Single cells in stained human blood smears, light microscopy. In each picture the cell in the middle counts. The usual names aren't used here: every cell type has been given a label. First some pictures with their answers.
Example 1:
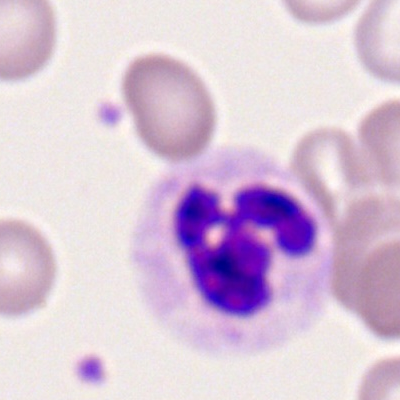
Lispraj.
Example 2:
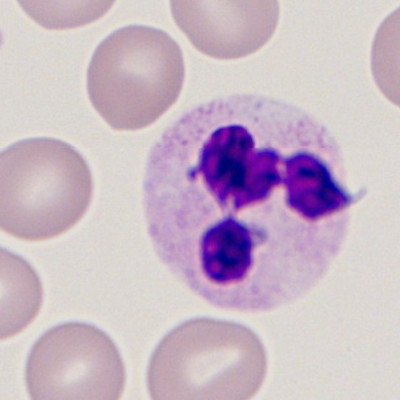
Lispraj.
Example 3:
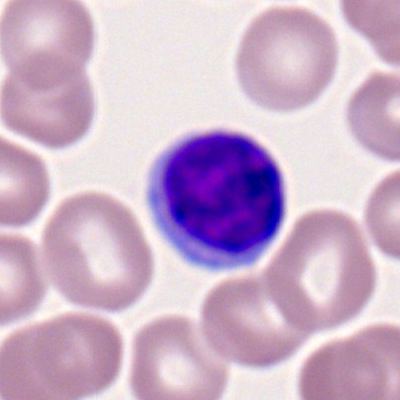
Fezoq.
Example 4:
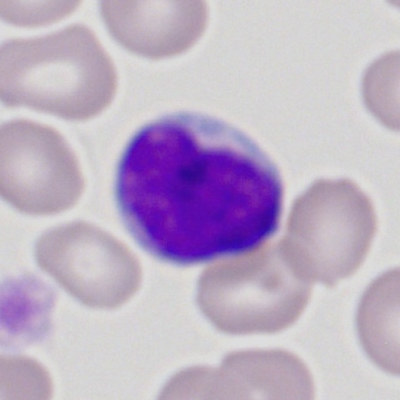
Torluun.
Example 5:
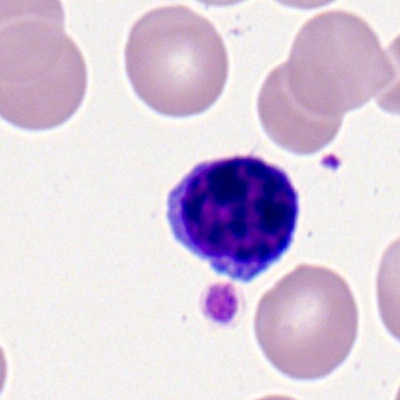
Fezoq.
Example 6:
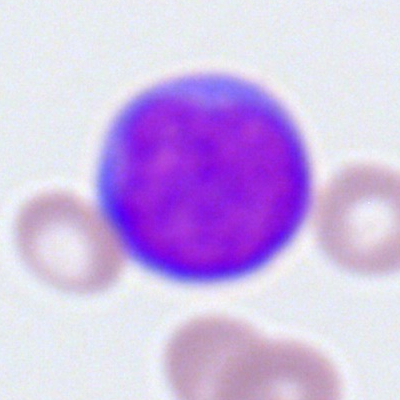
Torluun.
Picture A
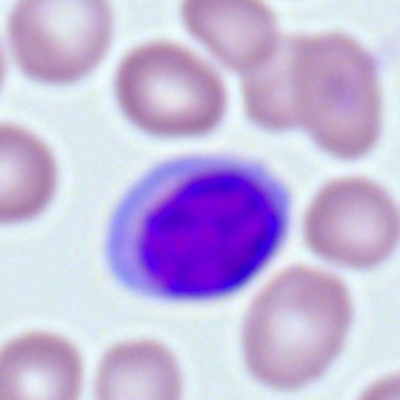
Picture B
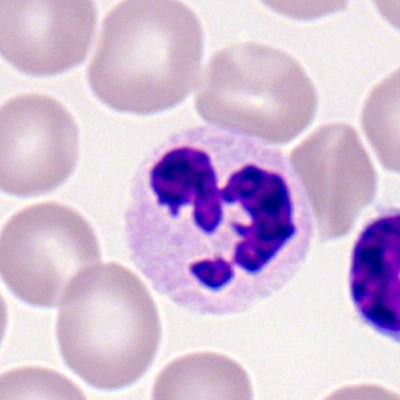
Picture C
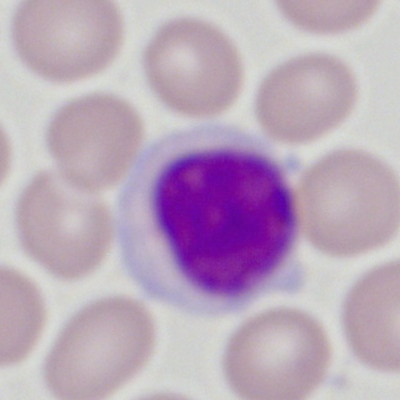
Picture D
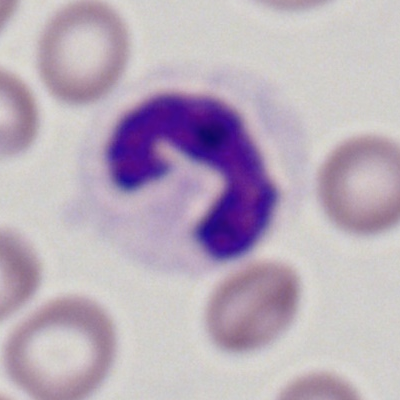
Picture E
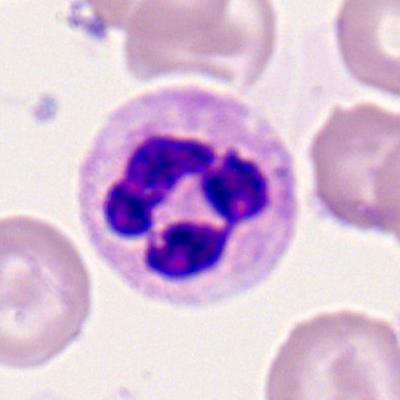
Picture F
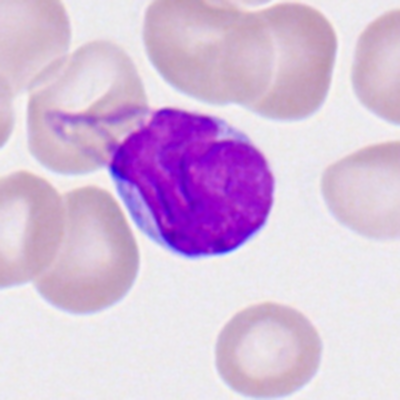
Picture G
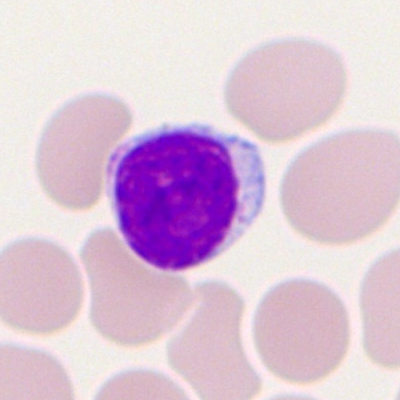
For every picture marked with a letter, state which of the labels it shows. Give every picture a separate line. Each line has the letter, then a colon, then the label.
A: Fezoq.
B: Lispraj.
C: Fezoq.
D: Lispraj.
E: Lispraj.
F: Fezoq.
G: Fezoq.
